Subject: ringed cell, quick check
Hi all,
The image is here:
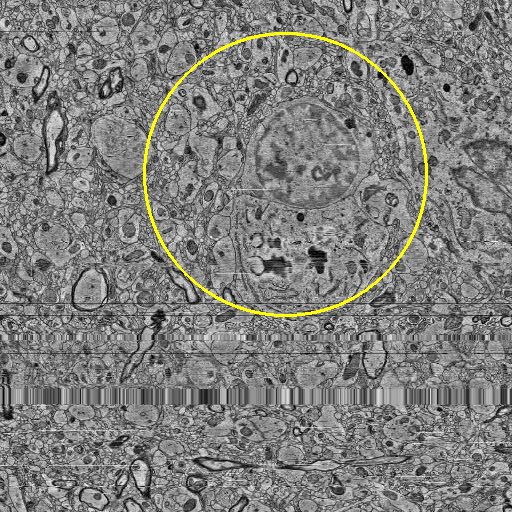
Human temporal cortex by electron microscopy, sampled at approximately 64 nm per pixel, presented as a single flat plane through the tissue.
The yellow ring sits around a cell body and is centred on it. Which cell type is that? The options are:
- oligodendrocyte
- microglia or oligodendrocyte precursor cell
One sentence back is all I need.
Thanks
That ringed cell is an oligodendrocyte.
